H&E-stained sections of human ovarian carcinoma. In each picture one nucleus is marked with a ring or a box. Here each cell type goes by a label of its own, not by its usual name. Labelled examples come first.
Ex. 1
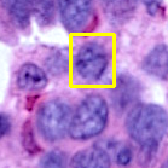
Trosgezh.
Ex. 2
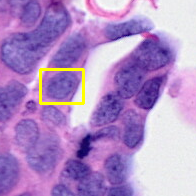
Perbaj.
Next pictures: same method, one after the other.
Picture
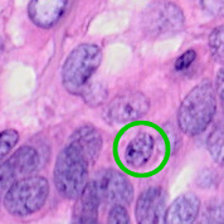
Trosgezh.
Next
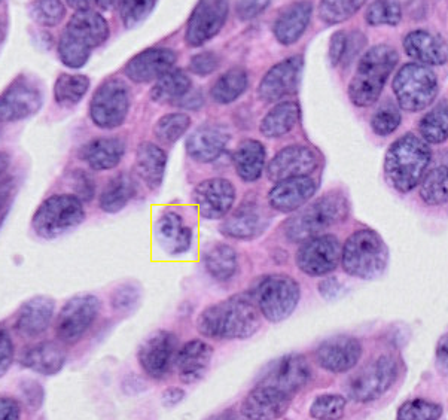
Trosgezh.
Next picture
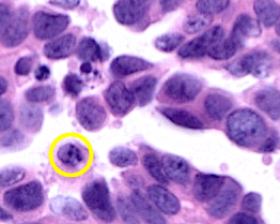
Trosgezh.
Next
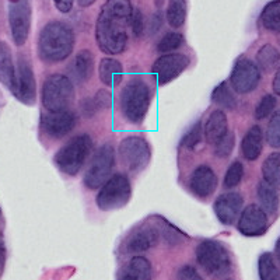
Perbaj.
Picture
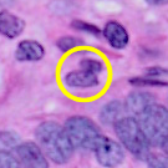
Trosgezh.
